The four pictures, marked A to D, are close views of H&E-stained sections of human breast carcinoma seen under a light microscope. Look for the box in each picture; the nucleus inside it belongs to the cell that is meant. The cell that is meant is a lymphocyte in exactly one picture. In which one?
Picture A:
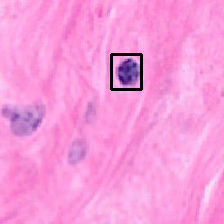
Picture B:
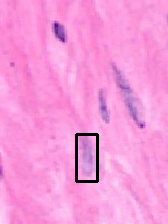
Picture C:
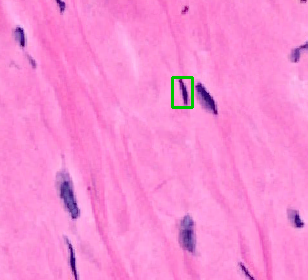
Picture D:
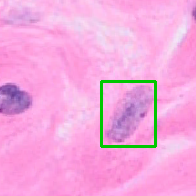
A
